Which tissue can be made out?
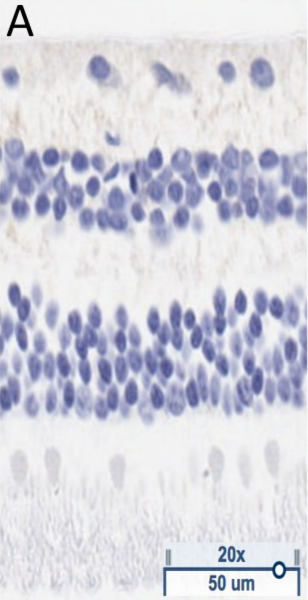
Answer: Retinas.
